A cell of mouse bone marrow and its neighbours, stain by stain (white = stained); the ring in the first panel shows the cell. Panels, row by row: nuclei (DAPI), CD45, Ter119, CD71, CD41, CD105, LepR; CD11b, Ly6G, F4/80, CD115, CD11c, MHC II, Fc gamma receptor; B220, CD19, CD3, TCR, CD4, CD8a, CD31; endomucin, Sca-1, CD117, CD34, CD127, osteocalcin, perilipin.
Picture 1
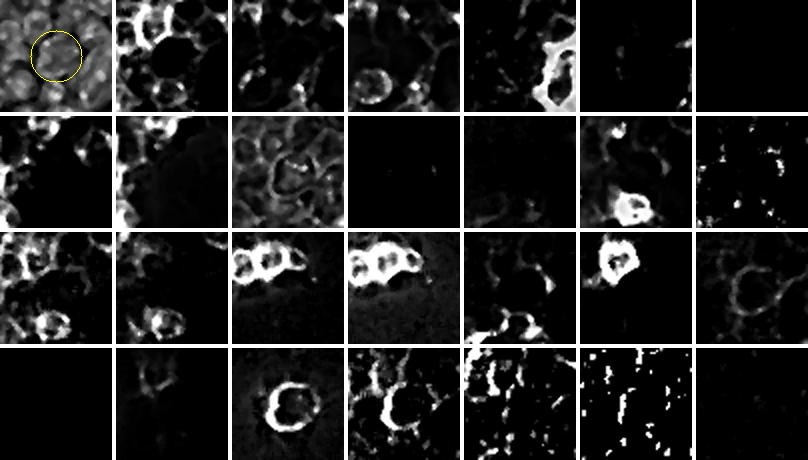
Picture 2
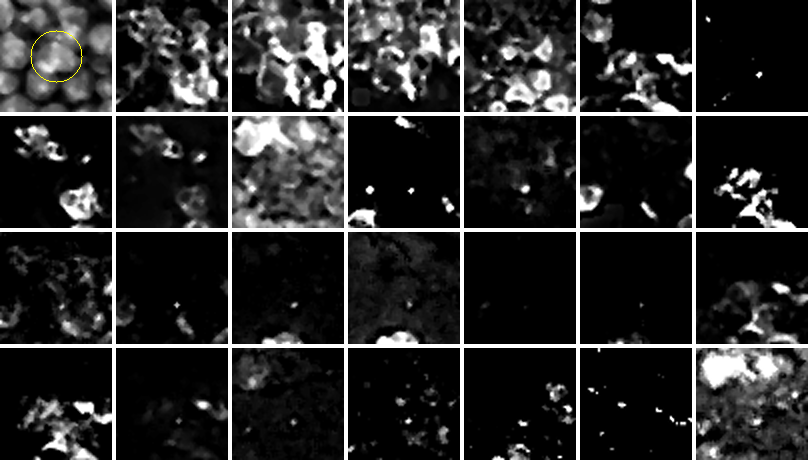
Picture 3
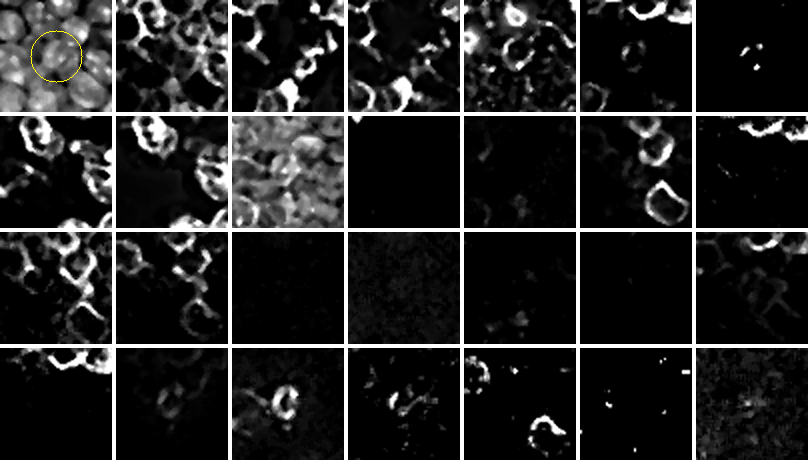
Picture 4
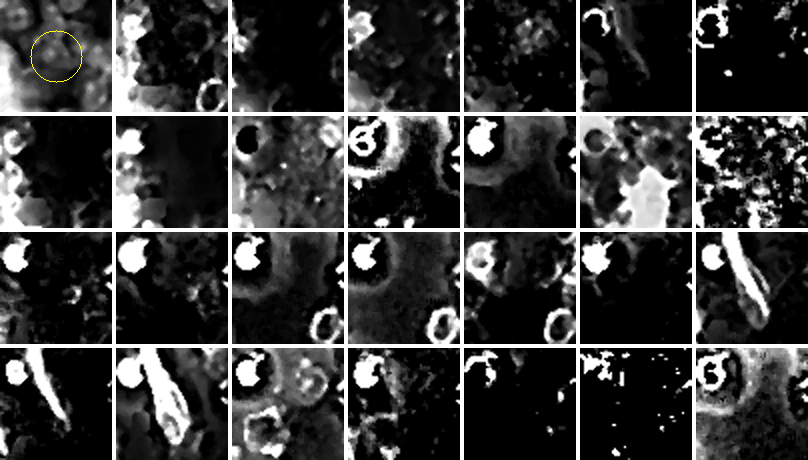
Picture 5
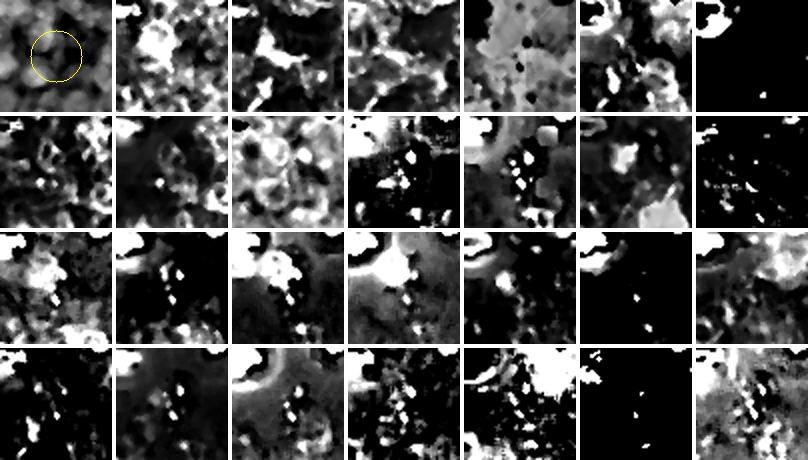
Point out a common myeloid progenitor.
That is picture 1.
